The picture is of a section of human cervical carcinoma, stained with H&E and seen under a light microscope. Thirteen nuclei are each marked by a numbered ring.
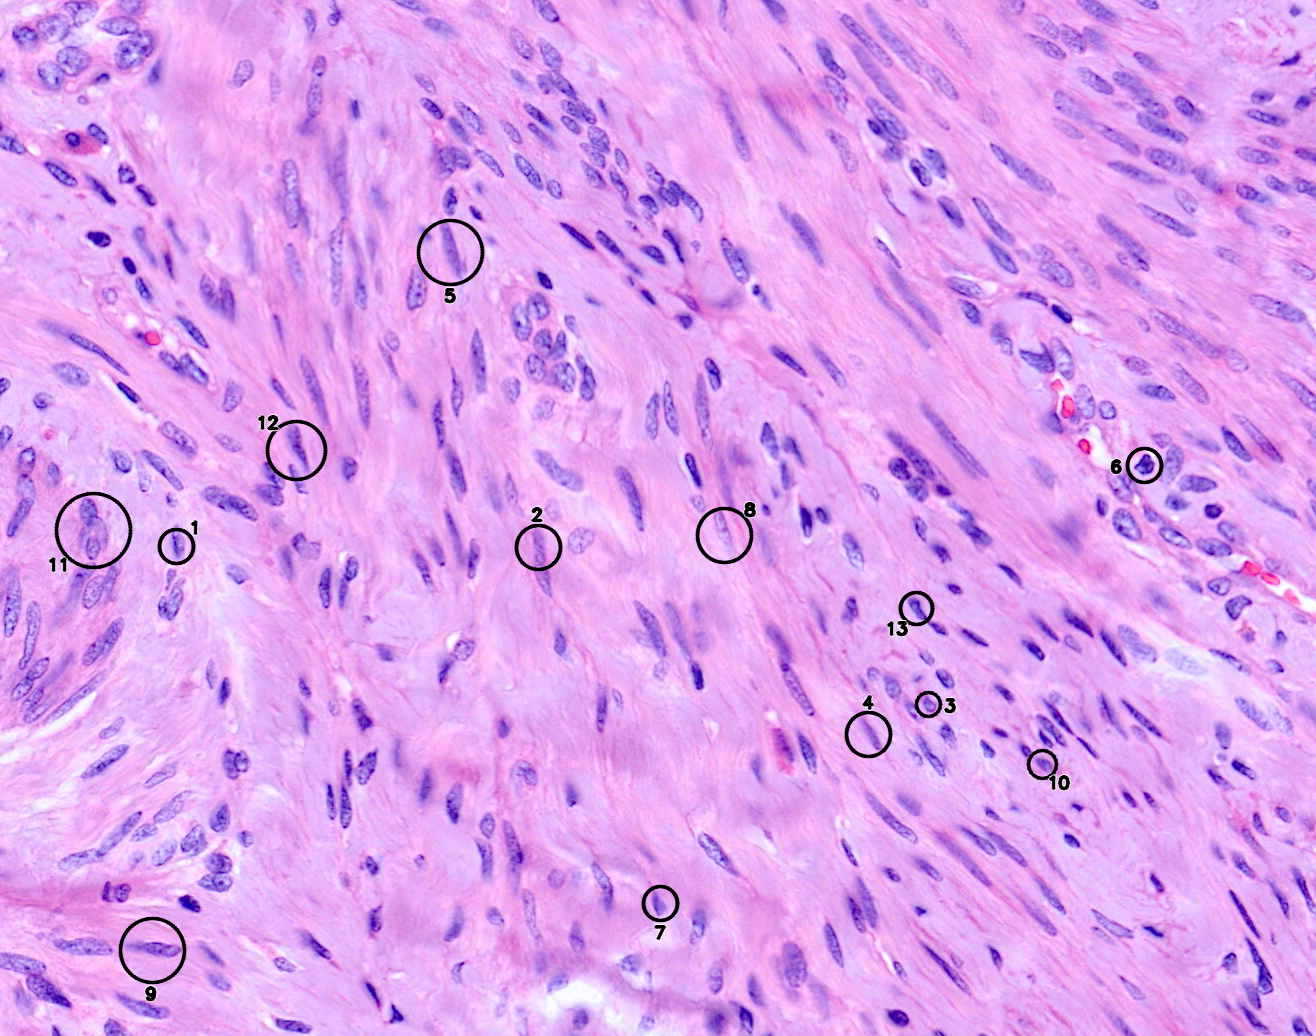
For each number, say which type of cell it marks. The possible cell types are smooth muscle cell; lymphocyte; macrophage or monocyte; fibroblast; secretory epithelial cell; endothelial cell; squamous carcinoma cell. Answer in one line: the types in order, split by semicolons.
fibroblast; smooth muscle cell; smooth muscle cell; smooth muscle cell; fibroblast; lymphocyte; fibroblast; smooth muscle cell; fibroblast; smooth muscle cell; smooth muscle cell; fibroblast; fibroblast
